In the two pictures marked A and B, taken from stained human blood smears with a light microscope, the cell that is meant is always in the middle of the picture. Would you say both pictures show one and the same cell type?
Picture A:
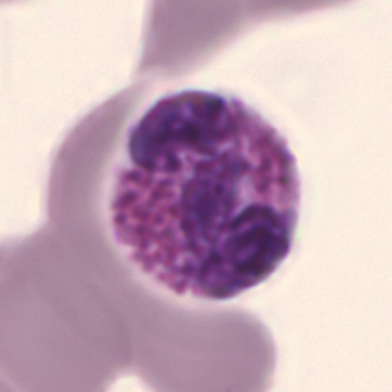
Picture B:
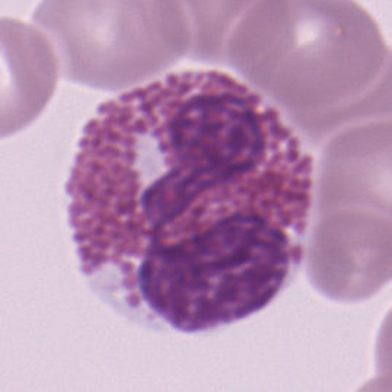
yes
